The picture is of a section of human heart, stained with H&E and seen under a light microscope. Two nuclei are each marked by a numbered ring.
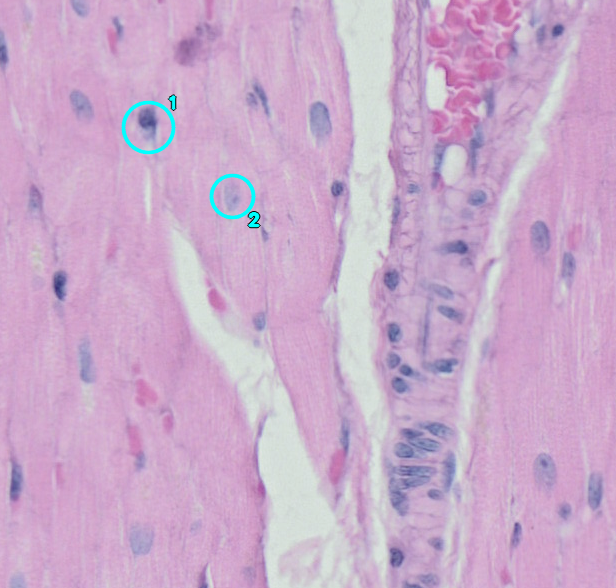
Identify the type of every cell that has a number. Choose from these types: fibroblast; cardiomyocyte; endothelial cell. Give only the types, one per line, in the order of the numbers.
endothelial cell
cardiomyocyte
